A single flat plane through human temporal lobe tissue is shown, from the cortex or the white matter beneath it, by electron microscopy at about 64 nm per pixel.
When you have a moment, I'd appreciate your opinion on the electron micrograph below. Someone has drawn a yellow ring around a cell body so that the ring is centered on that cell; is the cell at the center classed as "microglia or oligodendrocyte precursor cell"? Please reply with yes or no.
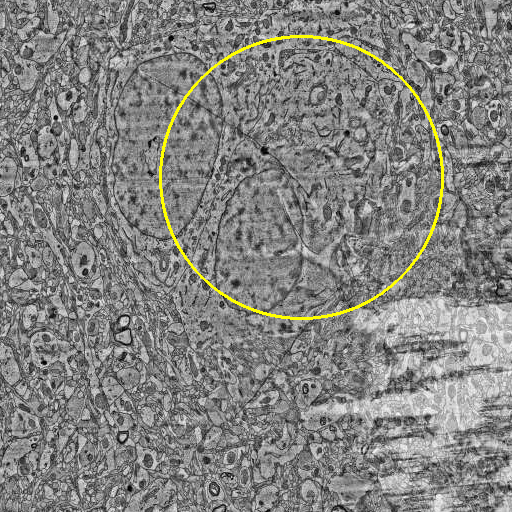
No, that cell belongs to another kind.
